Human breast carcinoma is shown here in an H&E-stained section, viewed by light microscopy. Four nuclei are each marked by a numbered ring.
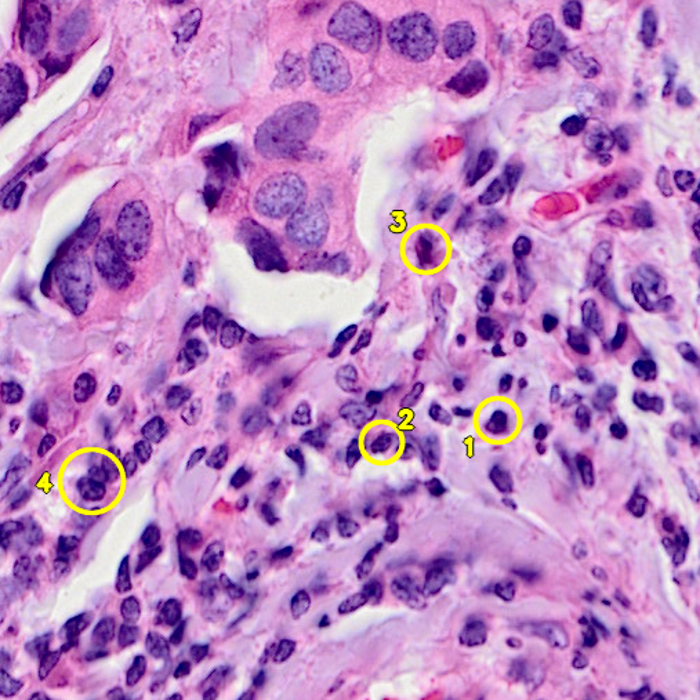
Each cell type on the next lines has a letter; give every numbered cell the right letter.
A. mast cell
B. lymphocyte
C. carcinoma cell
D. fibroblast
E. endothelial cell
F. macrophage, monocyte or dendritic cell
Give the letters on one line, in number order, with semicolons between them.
B; B; F; B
